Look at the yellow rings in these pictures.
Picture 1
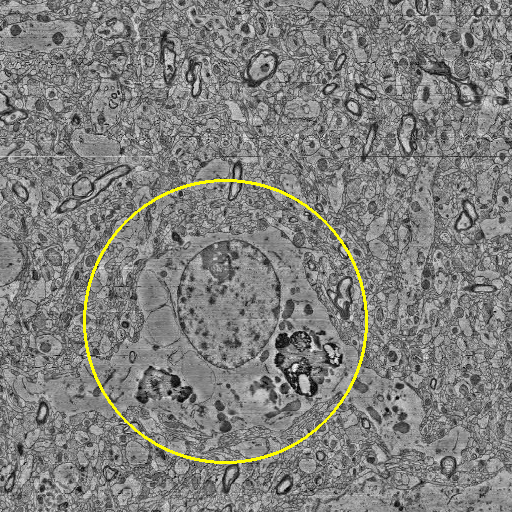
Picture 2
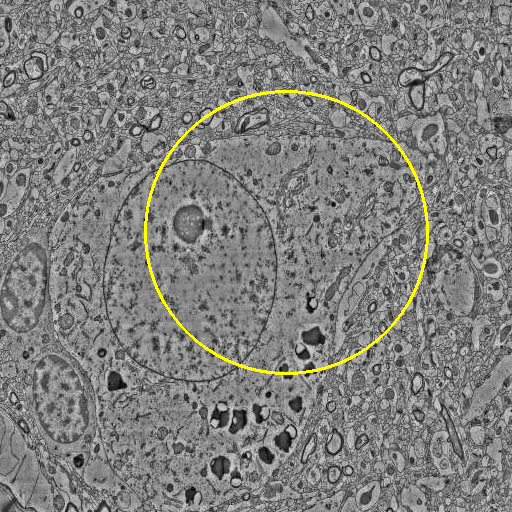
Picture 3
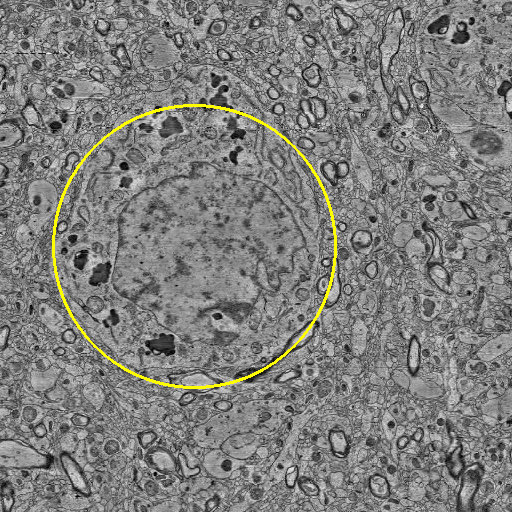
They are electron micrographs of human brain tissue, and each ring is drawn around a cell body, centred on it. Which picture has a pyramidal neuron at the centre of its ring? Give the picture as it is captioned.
Picture 2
